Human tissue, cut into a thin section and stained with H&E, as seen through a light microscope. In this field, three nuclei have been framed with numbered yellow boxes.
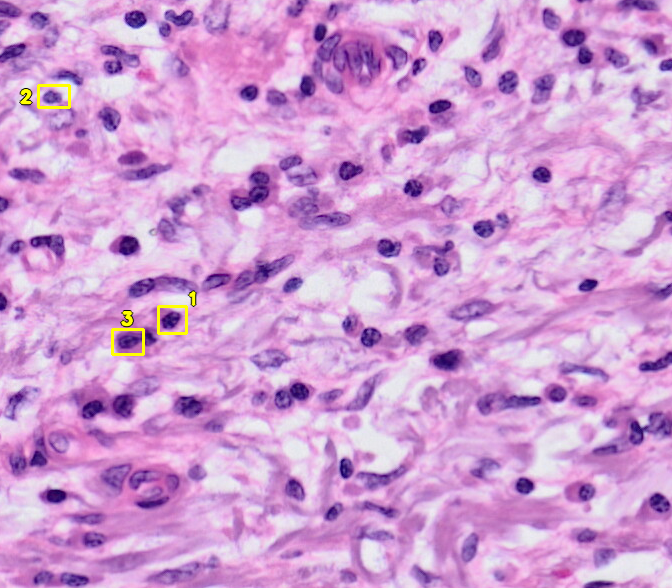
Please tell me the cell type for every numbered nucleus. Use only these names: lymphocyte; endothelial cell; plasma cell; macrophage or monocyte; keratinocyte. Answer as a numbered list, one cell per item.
1. plasma cell
2. lymphocyte
3. plasma cell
